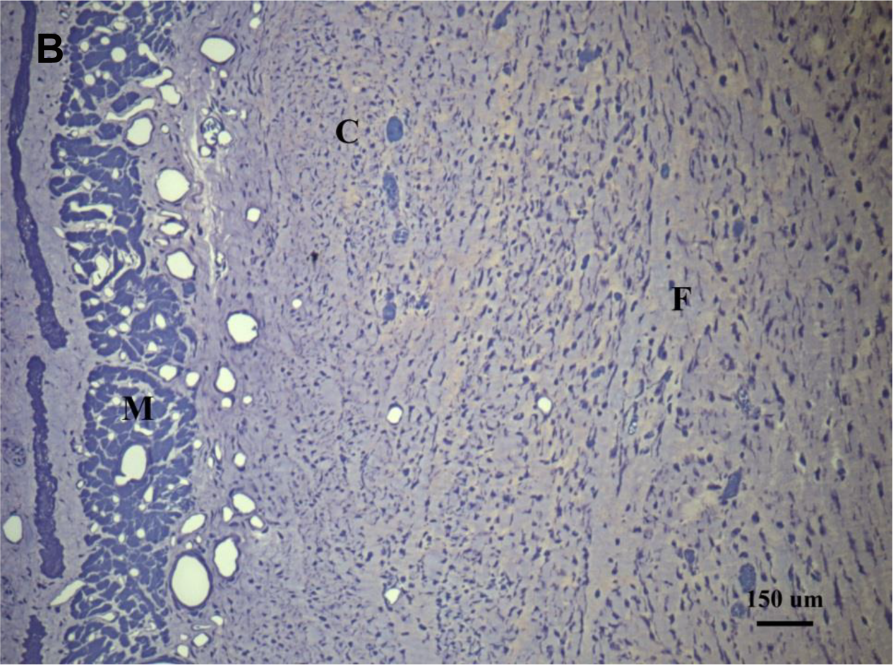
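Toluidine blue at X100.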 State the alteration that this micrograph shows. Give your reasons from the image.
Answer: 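Dark blue muscle tissue remains only as a narrow band along the left edge. Most of the field is pale tissue with scattered spindle-shaped nuclei. So: most of the myocytes have been replaced with fibrotic tissue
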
